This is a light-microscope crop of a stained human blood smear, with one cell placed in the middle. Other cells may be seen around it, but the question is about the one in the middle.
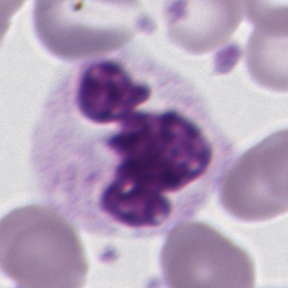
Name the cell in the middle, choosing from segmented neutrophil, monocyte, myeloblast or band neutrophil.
segmented neutrophil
